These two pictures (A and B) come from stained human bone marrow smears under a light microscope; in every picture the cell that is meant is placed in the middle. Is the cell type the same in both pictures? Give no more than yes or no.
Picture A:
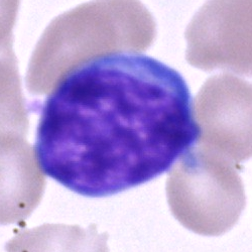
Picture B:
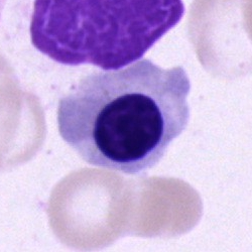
no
